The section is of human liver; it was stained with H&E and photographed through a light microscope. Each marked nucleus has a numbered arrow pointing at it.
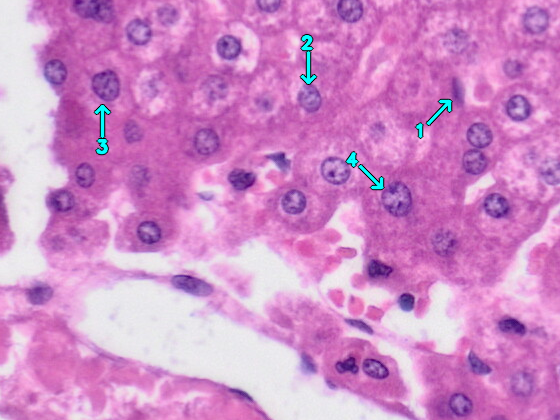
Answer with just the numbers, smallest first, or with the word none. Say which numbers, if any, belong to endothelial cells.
1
